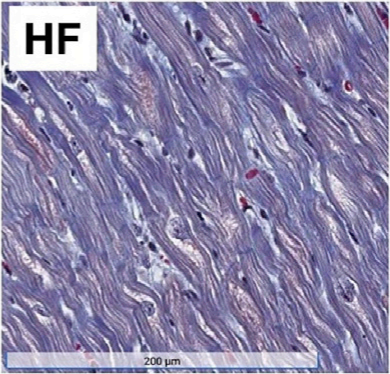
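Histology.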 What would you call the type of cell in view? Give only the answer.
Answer: cardiomyocyte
